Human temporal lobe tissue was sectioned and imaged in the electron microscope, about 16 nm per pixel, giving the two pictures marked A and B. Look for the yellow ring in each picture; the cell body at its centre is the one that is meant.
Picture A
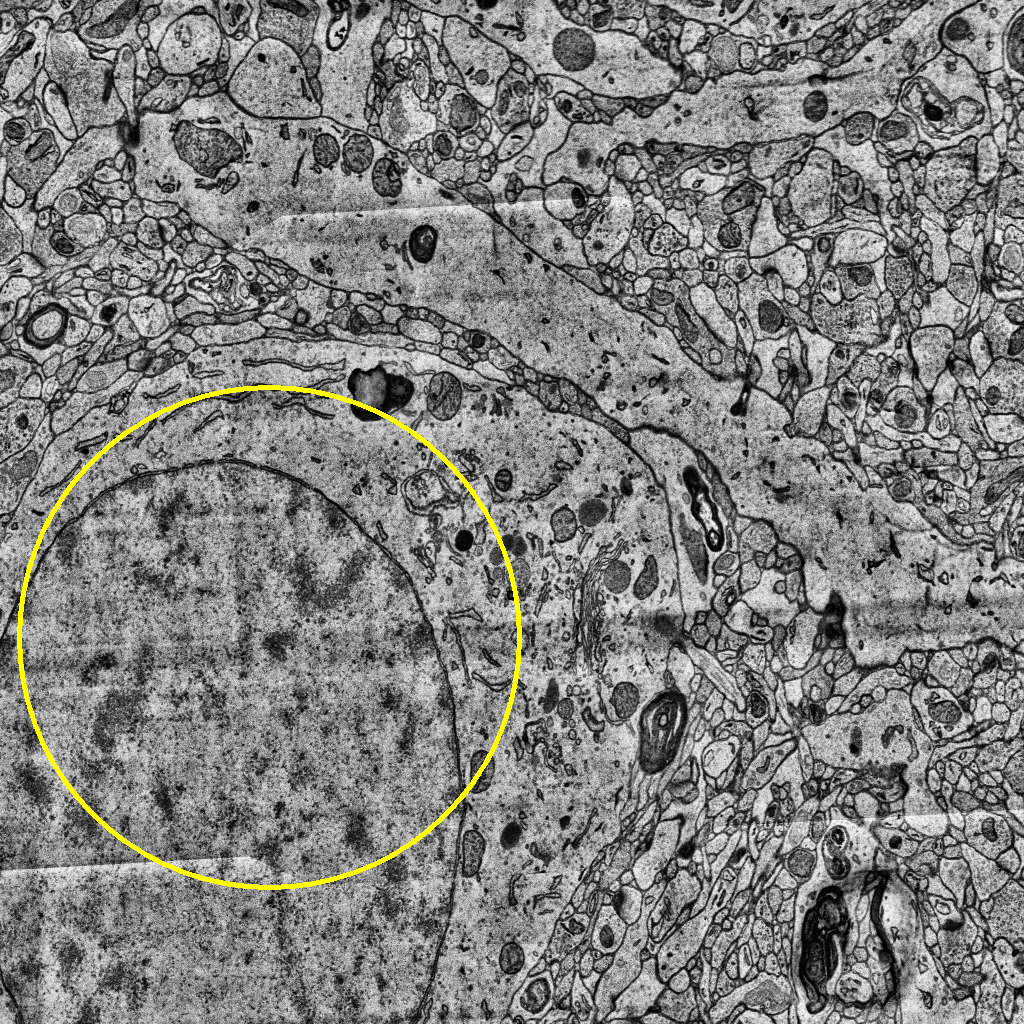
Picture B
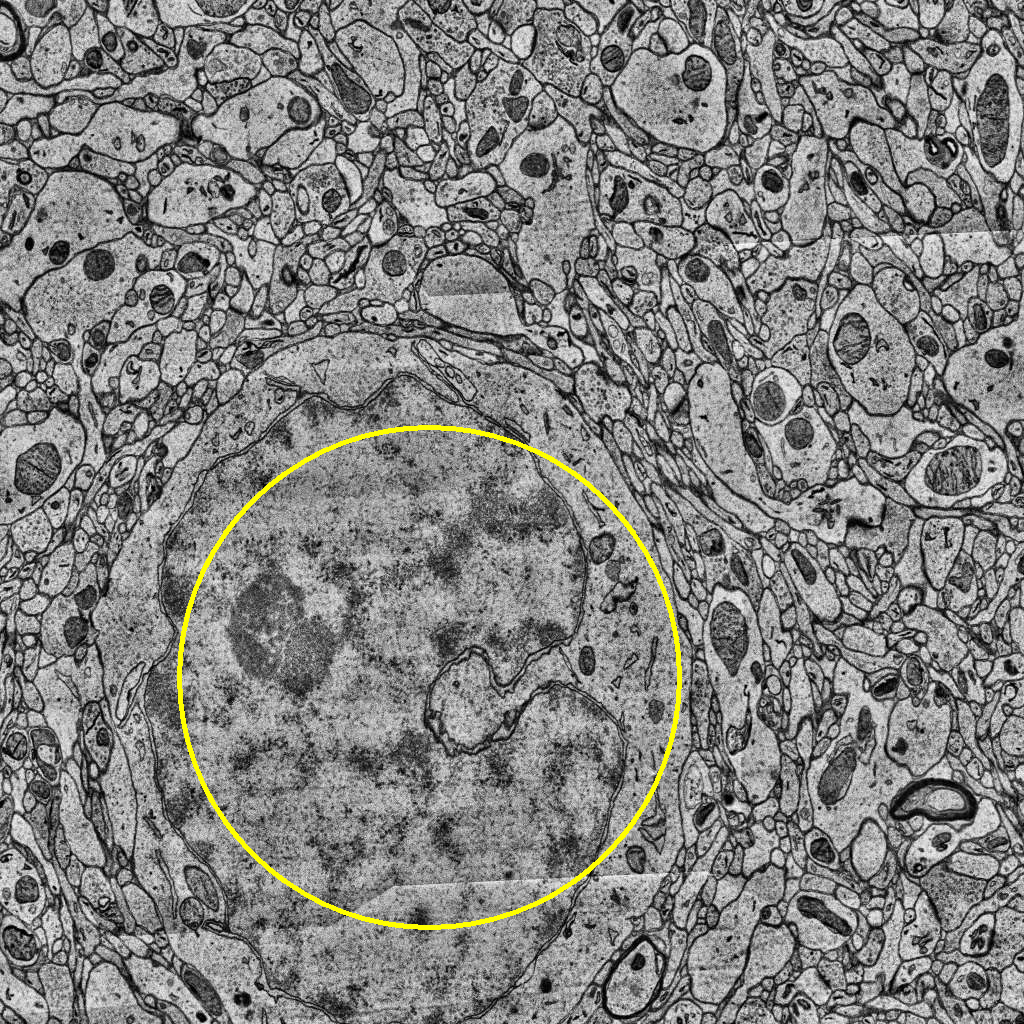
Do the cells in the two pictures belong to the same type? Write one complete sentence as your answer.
No, they differ: the cell is a pyramidal neuron in picture A and an interneuron in picture B.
